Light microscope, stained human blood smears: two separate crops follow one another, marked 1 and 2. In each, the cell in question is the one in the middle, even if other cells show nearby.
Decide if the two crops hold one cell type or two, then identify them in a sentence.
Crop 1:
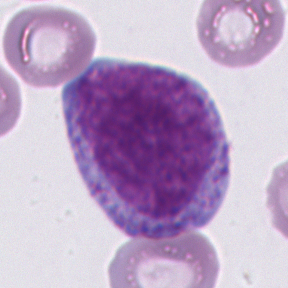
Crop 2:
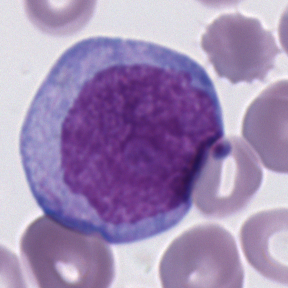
Yes, both crops feature promyelocytes at the centre.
